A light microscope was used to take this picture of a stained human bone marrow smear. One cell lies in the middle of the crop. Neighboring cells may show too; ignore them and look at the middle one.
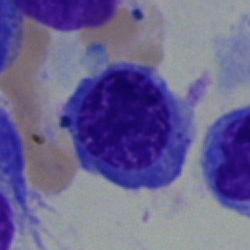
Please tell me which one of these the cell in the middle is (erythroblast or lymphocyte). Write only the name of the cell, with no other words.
erythroblast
